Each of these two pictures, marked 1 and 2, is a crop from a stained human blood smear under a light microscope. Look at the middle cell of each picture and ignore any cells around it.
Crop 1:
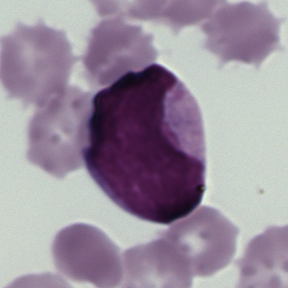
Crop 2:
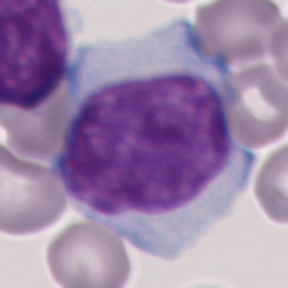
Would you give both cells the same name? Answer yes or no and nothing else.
yes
